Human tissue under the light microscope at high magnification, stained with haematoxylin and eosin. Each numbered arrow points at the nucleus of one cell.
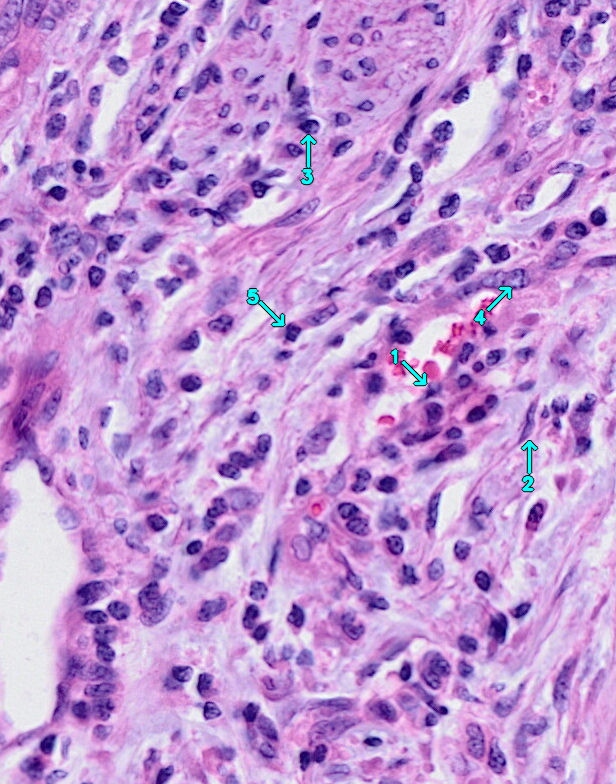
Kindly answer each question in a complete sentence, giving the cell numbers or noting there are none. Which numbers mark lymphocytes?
The cells shown with numbers 3 and 5 are lymphocytes.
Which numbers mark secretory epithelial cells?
Of the numbered cells, none can be classed as secretory epithelial cells.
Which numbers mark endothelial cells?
The cells numbered 1 and 4 are identified as endothelial cells.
